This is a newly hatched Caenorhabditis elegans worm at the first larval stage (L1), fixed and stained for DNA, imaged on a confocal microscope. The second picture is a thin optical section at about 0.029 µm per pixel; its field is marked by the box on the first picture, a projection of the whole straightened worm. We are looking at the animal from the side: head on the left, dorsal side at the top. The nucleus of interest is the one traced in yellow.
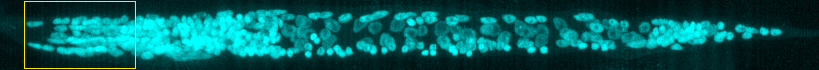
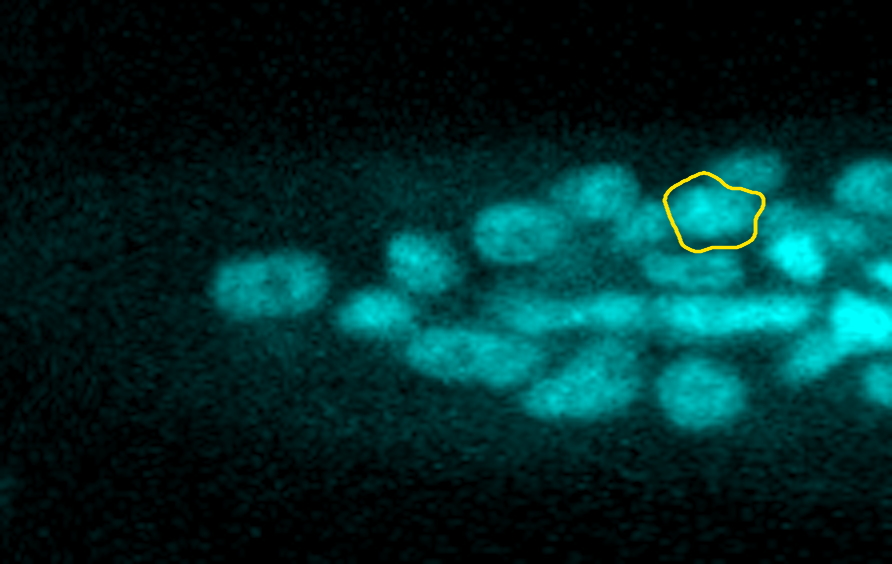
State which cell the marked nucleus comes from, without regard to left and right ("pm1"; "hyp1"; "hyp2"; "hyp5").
hyp1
